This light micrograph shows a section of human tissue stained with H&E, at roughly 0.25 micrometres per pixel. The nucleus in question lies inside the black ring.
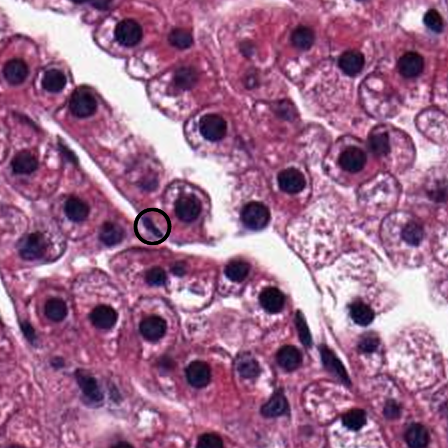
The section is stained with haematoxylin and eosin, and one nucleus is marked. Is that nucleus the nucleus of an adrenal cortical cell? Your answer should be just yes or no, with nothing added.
no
